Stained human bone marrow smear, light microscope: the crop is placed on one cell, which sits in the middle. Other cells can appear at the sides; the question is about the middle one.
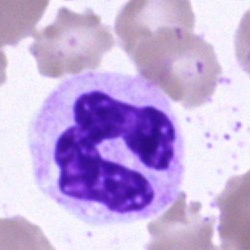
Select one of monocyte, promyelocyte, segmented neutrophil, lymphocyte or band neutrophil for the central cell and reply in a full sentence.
Standing at the centre of this crop is a segmented neutrophil.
